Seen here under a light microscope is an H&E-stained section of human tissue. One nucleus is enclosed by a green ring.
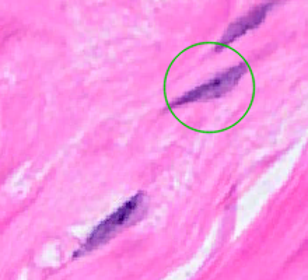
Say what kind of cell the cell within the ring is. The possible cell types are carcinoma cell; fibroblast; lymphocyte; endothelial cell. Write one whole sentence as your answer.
The cell meant here is a fibroblast.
